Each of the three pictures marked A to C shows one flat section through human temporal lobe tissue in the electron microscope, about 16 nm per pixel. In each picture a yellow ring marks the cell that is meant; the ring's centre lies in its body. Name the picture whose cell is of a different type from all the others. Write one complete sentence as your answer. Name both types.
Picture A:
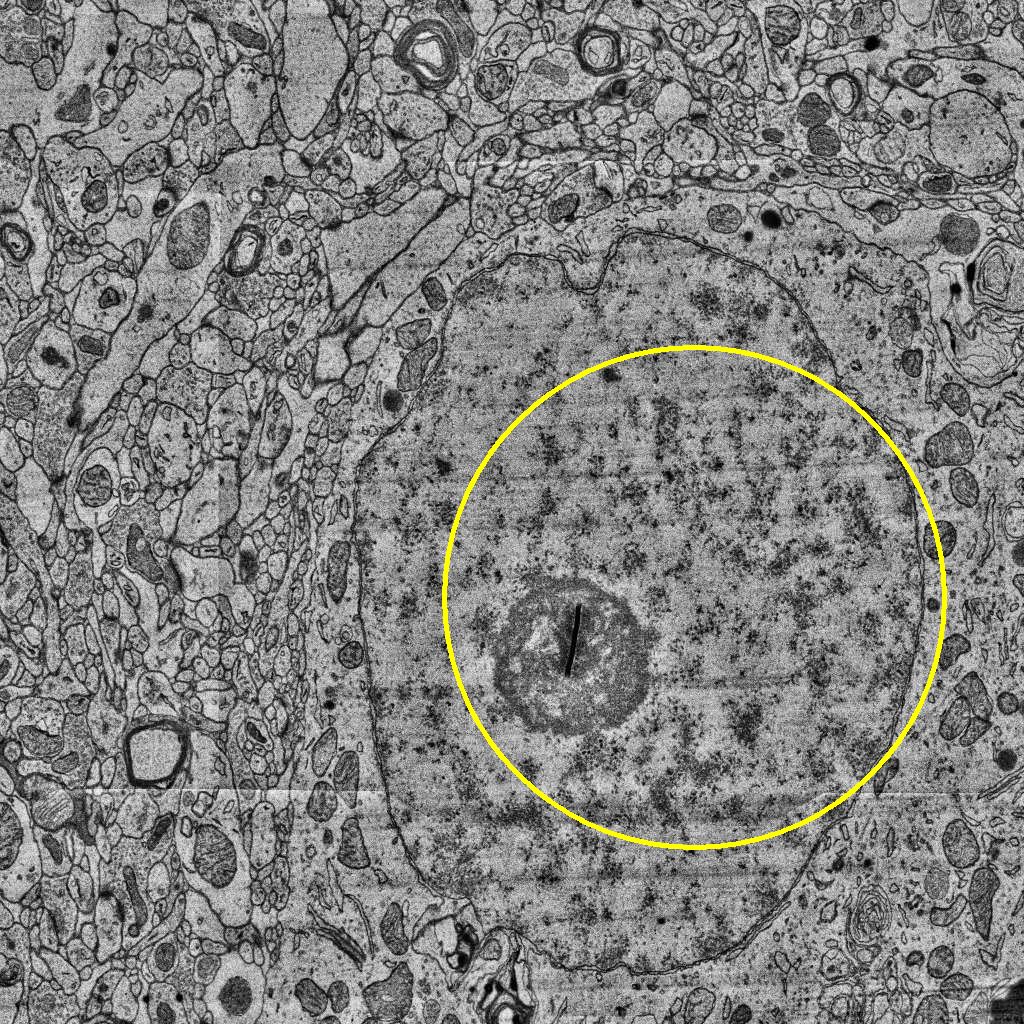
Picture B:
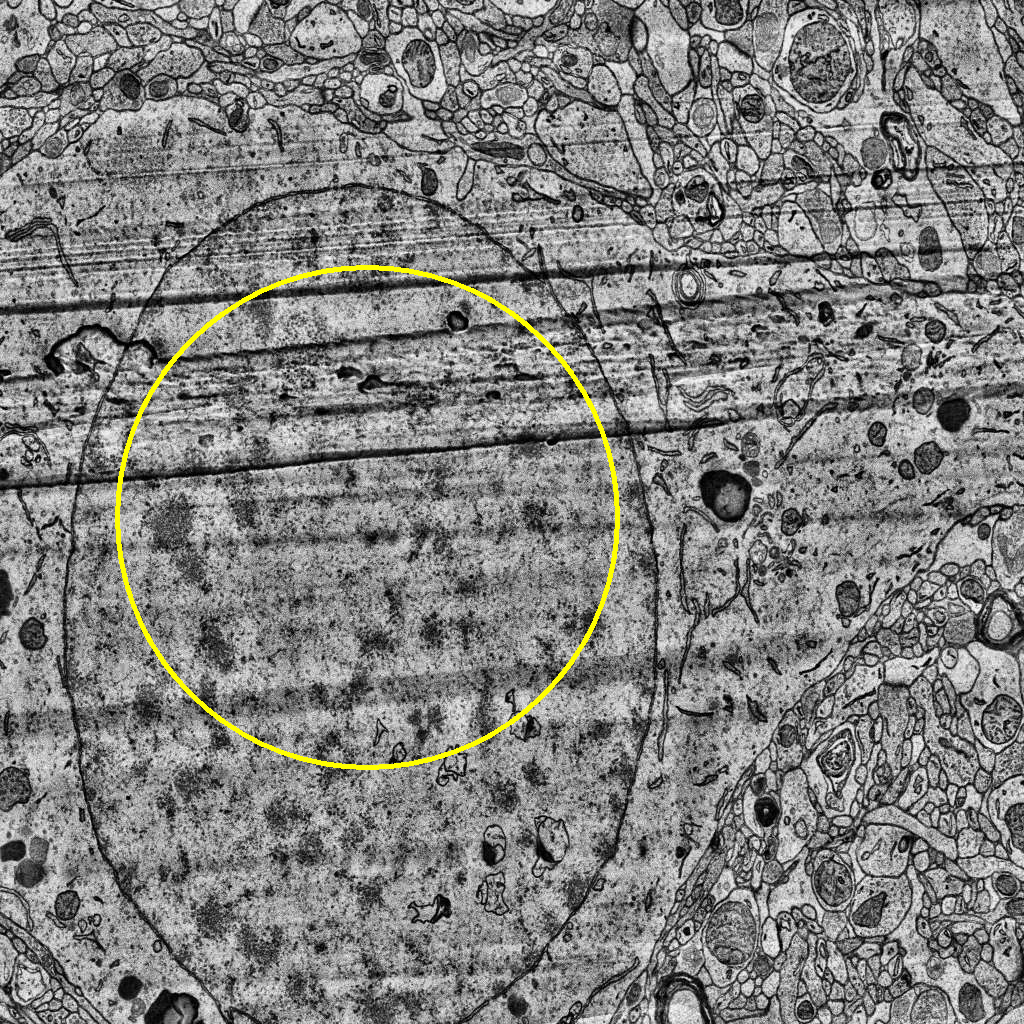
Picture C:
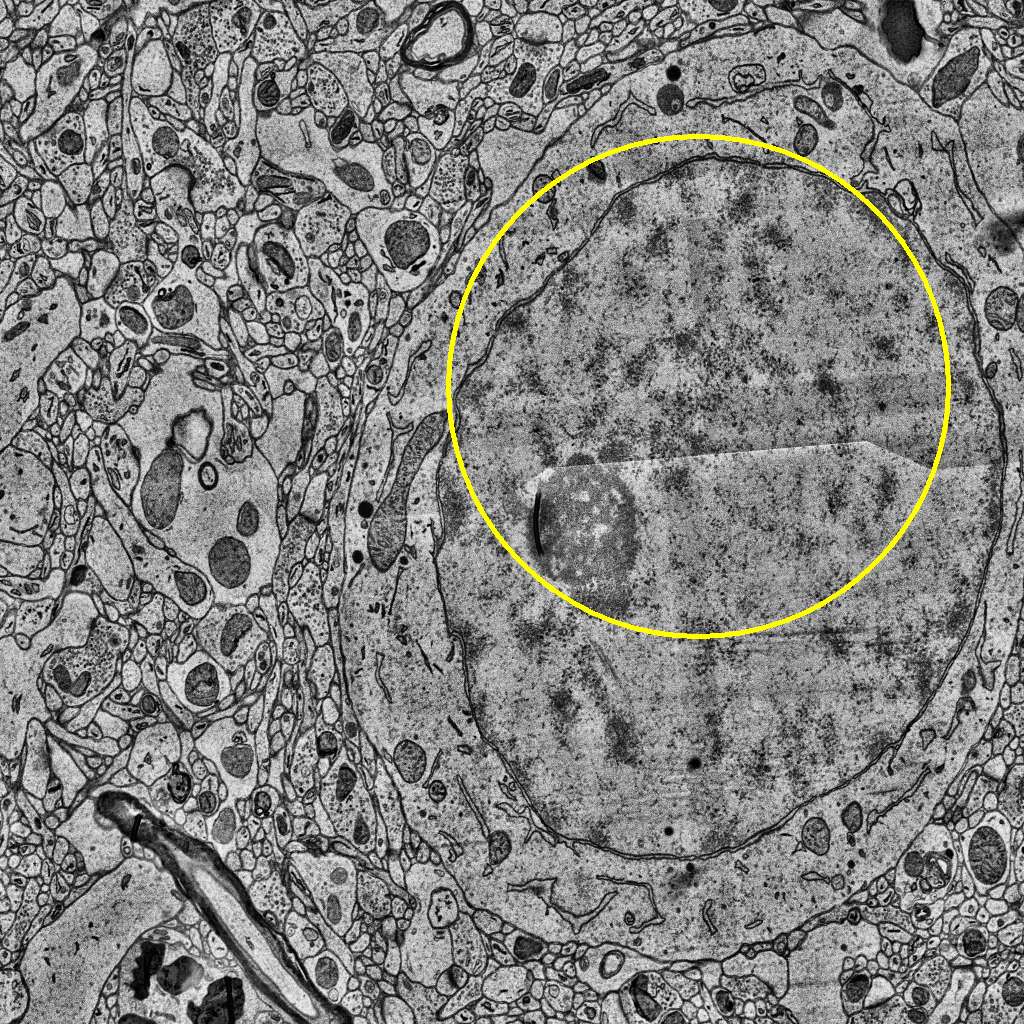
Picture B differs, because its cell is a pyramidal neuron and the rest are interneurons.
